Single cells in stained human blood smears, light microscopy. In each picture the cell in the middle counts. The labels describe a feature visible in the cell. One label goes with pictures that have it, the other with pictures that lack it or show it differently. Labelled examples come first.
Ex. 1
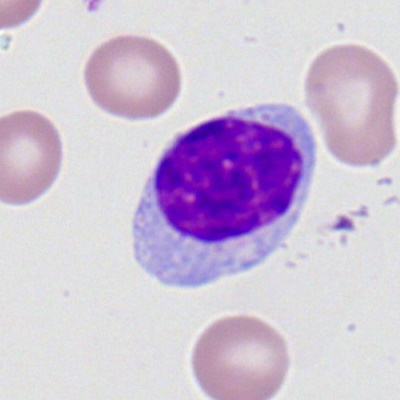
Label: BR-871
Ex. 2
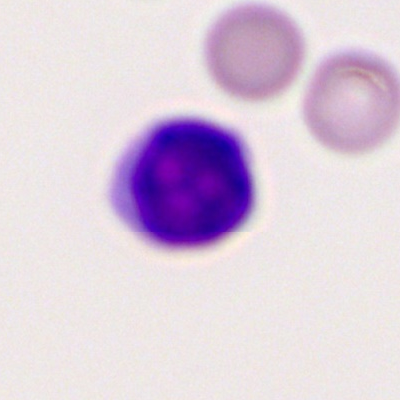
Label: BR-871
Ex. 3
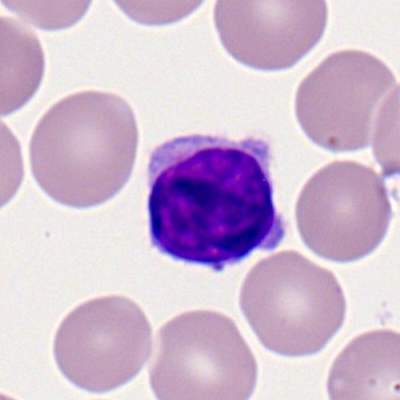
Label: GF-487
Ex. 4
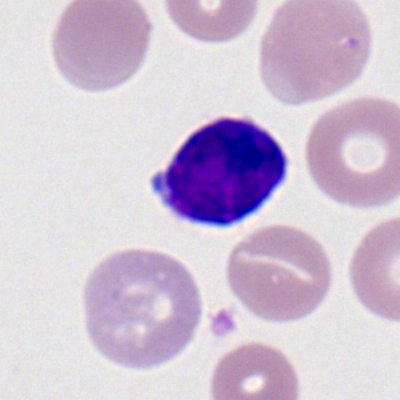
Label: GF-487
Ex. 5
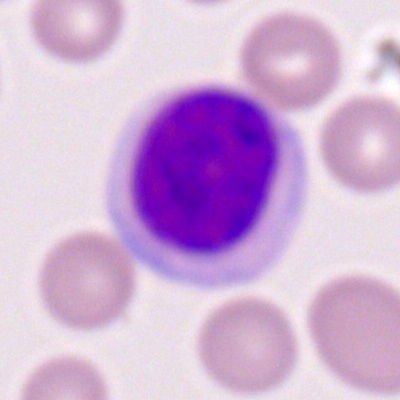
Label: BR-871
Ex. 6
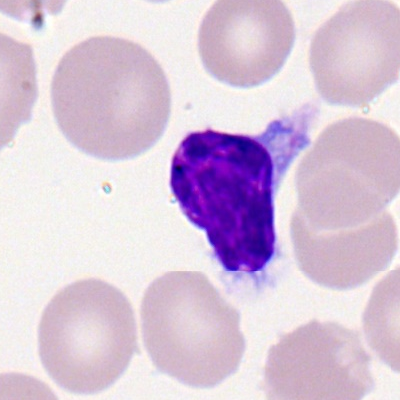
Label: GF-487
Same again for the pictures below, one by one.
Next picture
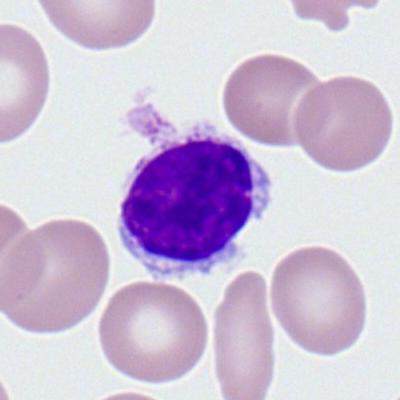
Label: GF-487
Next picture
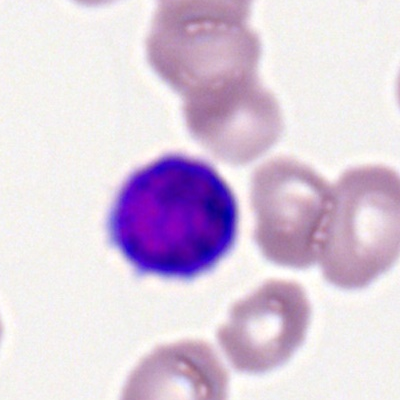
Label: GF-487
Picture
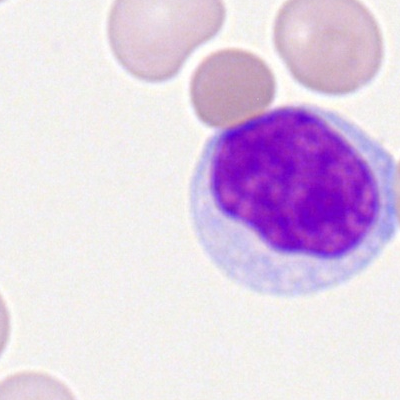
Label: BR-871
